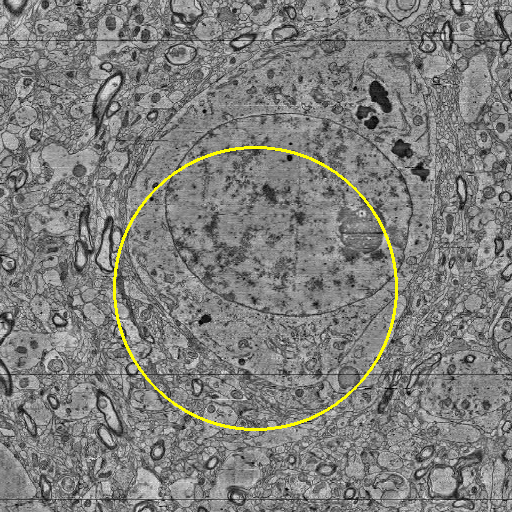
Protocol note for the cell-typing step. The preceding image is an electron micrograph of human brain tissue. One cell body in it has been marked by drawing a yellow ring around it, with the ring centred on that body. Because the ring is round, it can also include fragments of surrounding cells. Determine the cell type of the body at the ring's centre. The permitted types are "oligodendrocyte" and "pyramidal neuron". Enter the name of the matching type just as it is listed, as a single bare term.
pyramidal neuron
